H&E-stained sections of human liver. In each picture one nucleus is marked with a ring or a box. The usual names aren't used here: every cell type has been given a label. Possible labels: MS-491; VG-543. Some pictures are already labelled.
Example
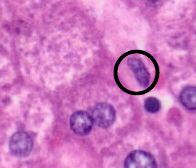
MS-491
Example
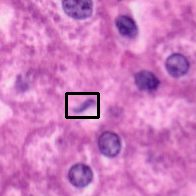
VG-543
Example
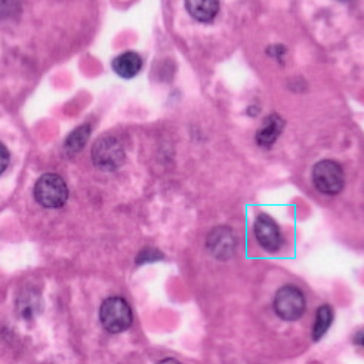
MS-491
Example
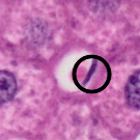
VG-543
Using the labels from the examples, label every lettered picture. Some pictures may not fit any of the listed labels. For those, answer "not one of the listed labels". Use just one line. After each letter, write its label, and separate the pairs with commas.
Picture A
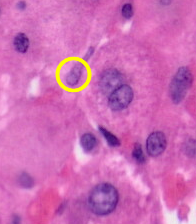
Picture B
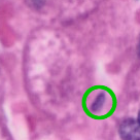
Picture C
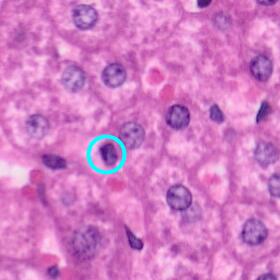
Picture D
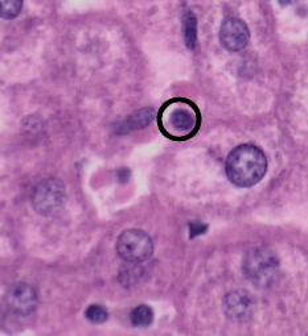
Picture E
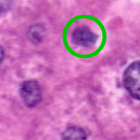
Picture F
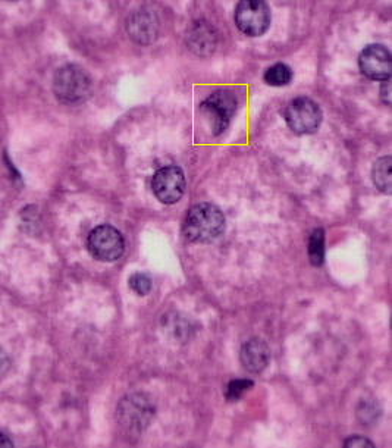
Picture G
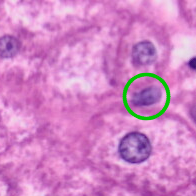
A MS-491, B not one of the listed labels, C MS-491, D not one of the listed labels, E VG-543, F MS-491, G VG-543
